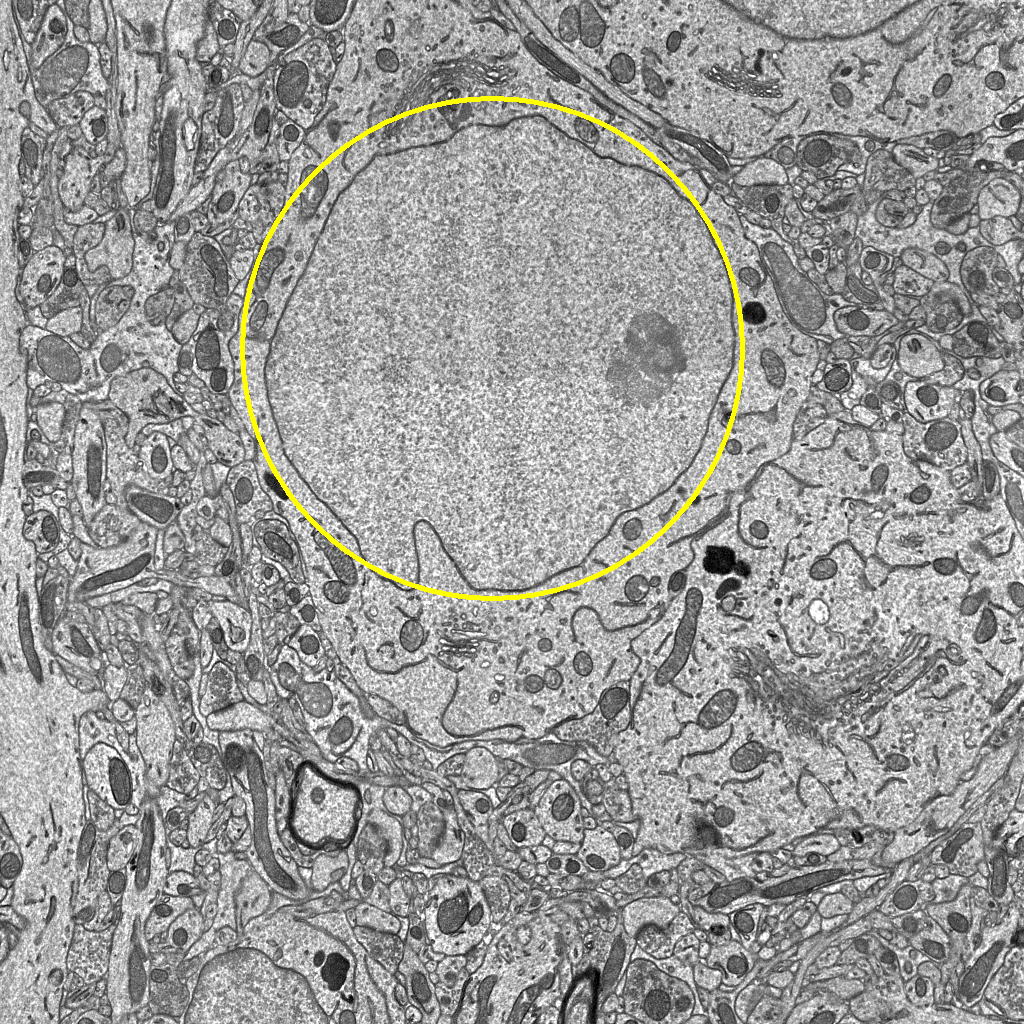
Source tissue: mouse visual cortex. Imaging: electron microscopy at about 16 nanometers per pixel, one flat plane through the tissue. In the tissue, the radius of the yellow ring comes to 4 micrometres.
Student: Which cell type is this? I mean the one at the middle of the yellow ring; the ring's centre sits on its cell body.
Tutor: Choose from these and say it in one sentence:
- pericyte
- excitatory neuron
The cell at the ring's centre is an excitatory neuron.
